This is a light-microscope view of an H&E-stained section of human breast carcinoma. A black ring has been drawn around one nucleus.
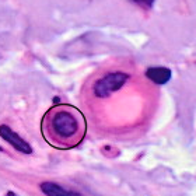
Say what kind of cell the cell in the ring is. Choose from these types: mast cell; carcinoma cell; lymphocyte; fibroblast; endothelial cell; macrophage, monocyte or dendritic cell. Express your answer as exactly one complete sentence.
So far as cell type goes, the cell in the ring is a mast cell.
